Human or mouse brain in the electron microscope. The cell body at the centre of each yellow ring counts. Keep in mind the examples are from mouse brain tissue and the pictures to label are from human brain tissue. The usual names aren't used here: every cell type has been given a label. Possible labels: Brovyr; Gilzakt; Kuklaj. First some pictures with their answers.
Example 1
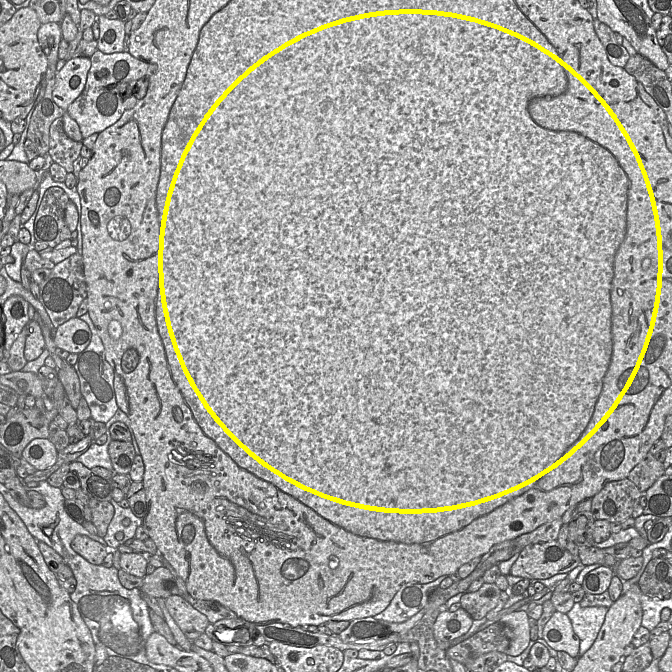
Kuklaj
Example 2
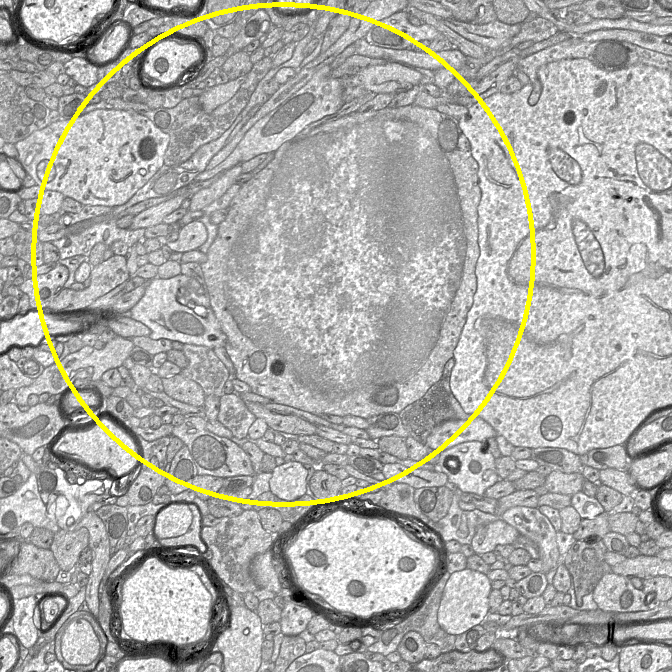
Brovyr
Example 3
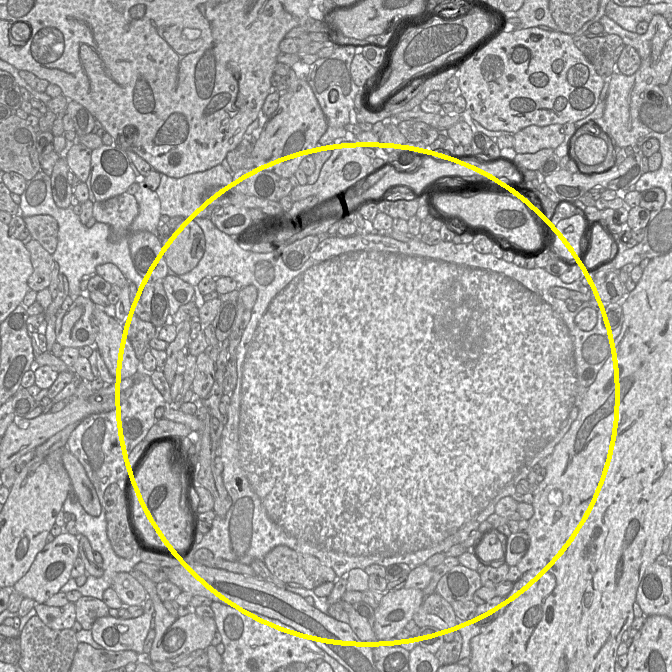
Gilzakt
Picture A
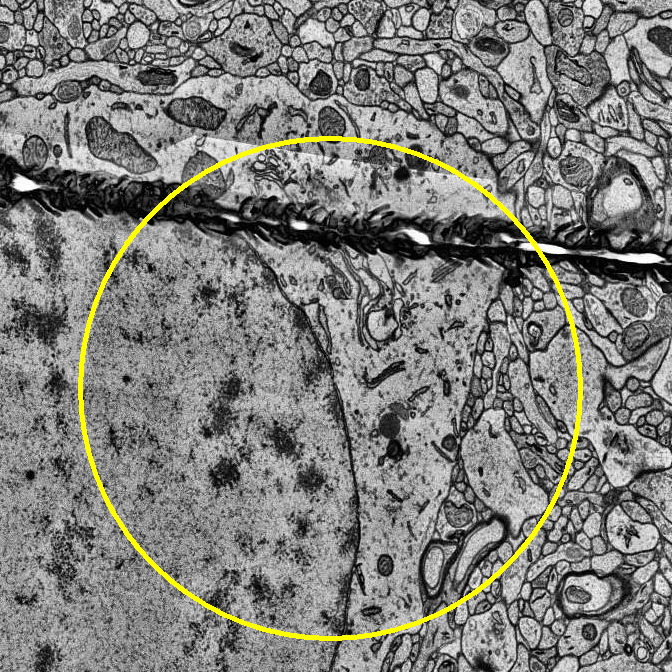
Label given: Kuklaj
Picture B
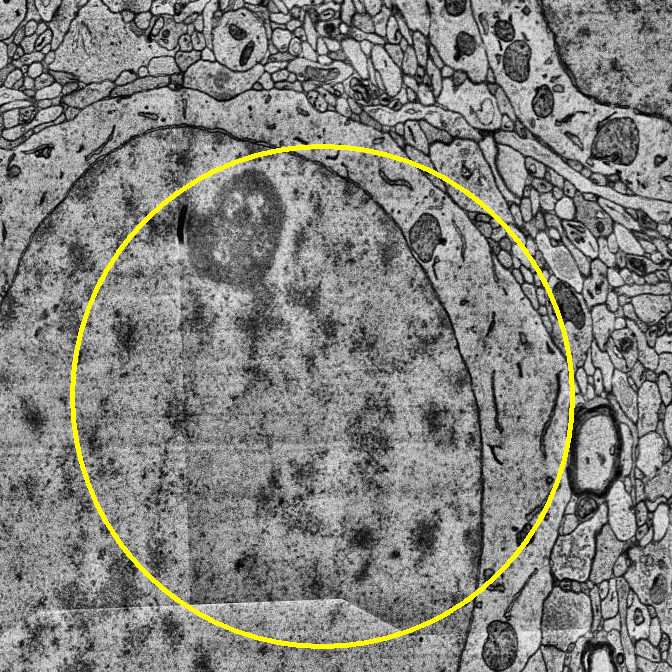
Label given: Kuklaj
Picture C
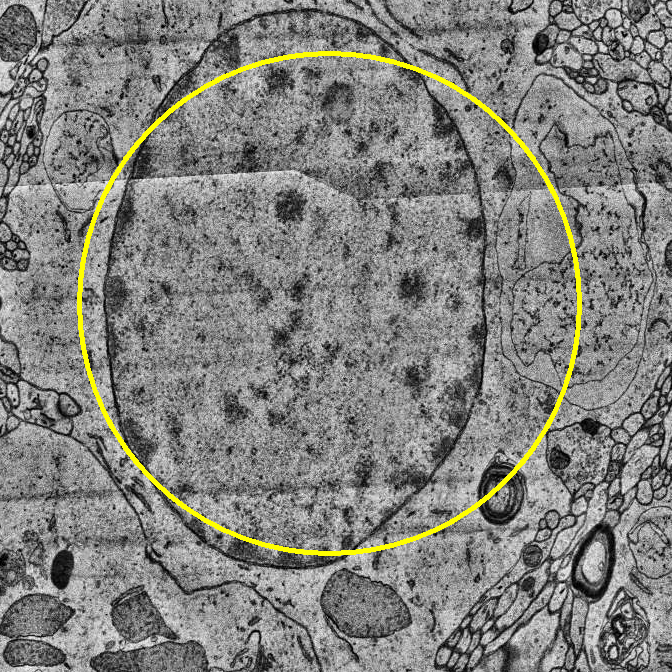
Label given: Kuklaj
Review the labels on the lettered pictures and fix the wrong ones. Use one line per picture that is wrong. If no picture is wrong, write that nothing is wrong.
C: change Kuklaj to Gilzakt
